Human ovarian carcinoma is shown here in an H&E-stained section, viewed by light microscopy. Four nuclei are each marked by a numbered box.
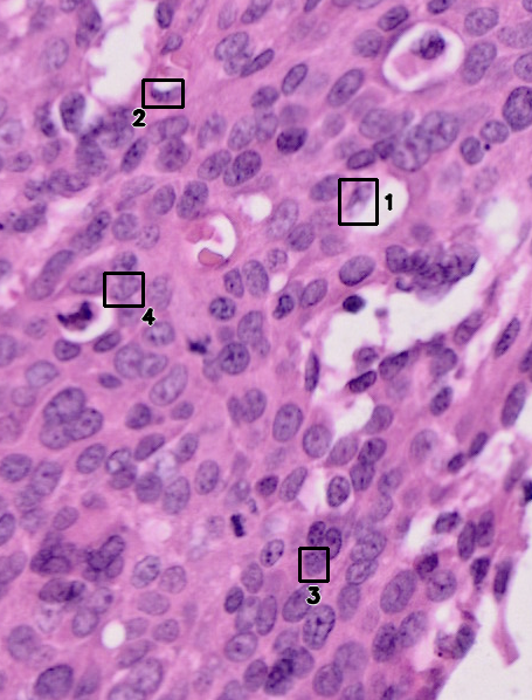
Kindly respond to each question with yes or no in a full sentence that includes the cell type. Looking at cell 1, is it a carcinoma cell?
No, the cell that carries number 1 is a macrophage or monocyte, not a carcinoma cell.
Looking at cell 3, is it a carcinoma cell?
Yes, that is correct: the cell numbered 3 is a carcinoma cell.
